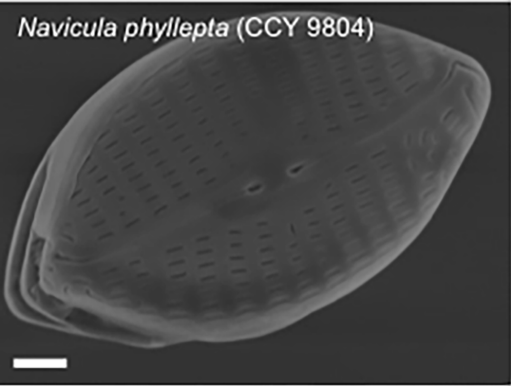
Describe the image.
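This scanning electron micrograph shows a single diatom shell in valve view, broadly elliptical with slightly pointed ends. A narrow slit runs along the long axis and is interrupted by a small thickened area near the middle. Short slit-like pores are set in transverse rows that run out from the central line toward the margins. At the edge of the shell, several overlapping bands form a rim around the valve.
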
